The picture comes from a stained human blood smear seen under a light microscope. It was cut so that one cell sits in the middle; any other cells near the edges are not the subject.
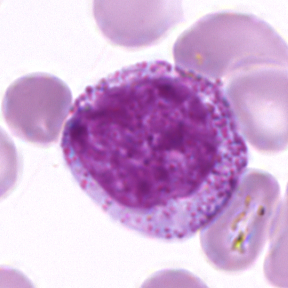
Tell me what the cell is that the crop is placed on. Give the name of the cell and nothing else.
myelocyte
